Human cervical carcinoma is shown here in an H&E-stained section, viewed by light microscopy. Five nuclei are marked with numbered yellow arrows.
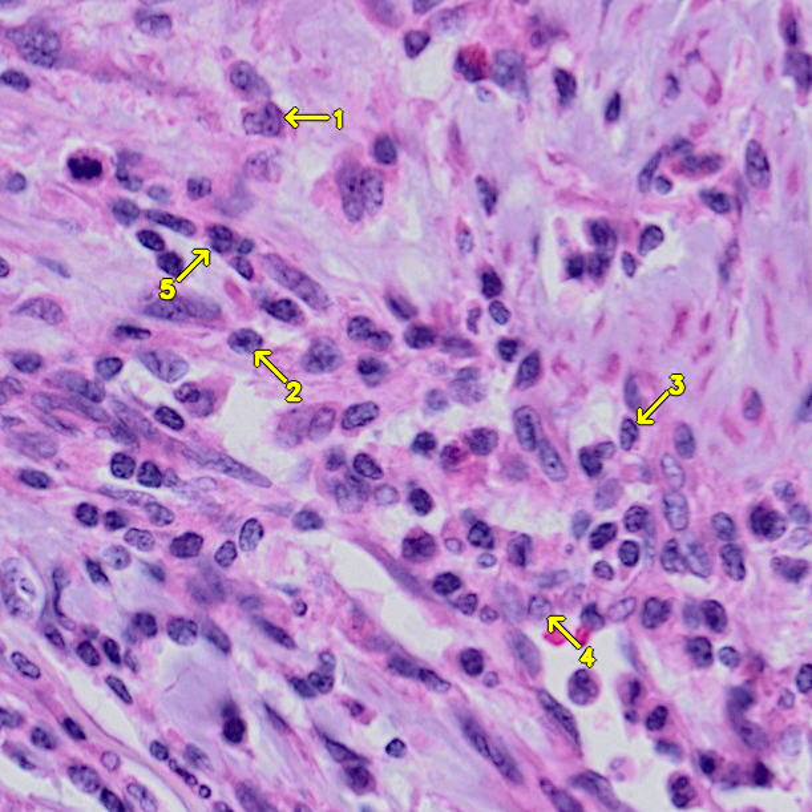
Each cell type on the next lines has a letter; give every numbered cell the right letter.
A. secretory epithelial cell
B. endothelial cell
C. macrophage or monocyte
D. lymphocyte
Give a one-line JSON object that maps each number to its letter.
{"1": "C", "2": "D", "3": "D", "4": "B", "5": "D"}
